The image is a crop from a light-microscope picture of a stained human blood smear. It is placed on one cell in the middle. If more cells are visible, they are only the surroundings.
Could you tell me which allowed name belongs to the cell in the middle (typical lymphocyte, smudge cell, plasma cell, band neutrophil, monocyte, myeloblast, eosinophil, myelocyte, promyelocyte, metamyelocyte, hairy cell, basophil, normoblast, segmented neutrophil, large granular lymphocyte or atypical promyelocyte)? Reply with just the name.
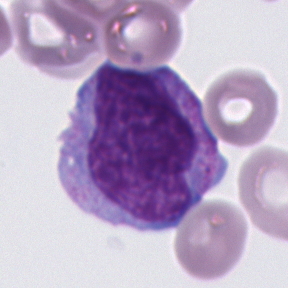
atypical promyelocyte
